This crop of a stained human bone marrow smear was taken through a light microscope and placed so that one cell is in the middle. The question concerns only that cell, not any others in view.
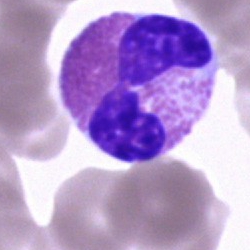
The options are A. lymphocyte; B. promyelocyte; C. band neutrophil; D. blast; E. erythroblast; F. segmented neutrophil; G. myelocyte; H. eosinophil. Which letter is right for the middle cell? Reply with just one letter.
H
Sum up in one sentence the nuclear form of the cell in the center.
What stands out is the nucleus, split into two or more lobes.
